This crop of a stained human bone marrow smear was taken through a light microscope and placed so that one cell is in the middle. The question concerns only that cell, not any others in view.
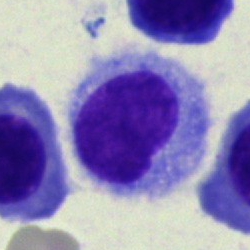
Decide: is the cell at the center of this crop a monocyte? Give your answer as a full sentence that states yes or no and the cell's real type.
No, instead of a monocyte, the middle cell is a hairy cell.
